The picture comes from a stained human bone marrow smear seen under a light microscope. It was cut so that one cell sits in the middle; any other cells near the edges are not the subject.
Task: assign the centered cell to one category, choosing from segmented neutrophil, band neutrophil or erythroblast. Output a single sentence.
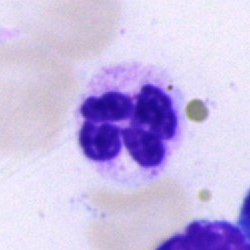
The centrally placed cell is classified as a segmented neutrophil.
